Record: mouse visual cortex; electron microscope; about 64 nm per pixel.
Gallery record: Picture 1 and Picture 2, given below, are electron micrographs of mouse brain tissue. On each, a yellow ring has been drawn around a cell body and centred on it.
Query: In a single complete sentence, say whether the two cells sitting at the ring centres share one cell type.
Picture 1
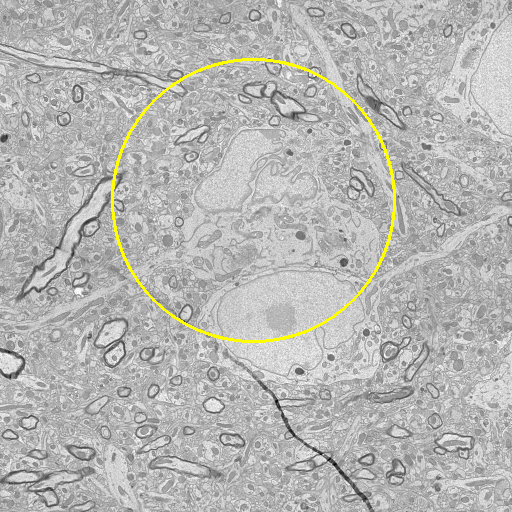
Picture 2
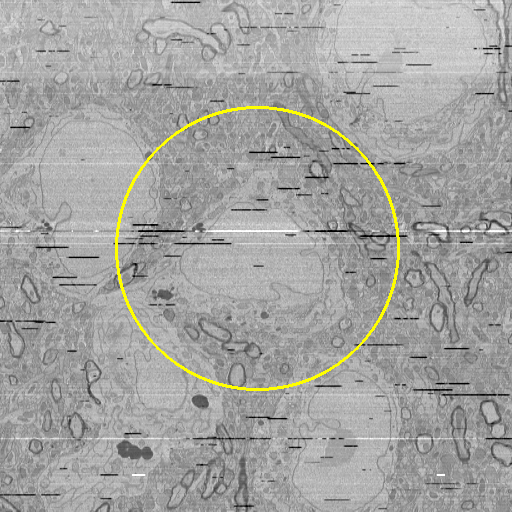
No, in the two pictures the cells at the rings' centres are of two separate types.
